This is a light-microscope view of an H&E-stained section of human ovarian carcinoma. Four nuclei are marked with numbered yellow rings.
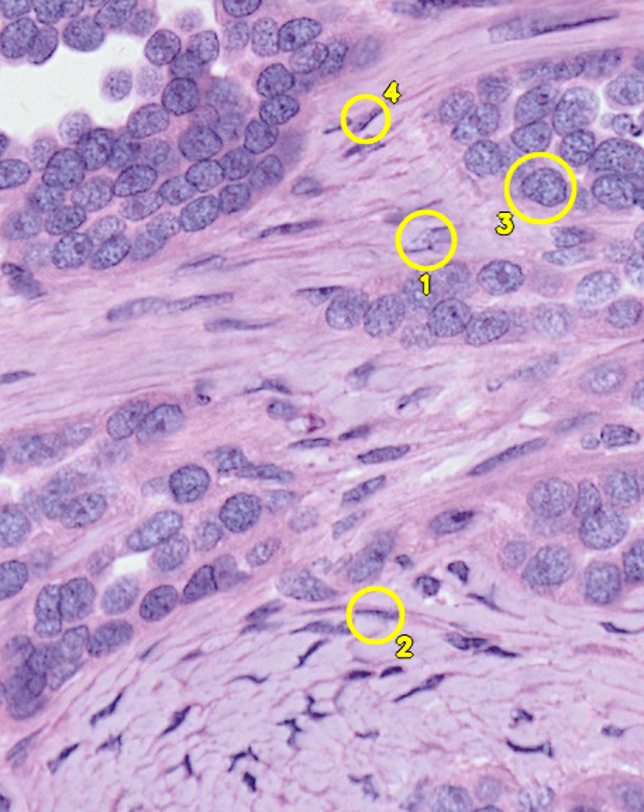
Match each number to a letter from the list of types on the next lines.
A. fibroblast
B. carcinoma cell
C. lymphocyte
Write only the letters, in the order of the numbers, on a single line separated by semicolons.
A; A; B; A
